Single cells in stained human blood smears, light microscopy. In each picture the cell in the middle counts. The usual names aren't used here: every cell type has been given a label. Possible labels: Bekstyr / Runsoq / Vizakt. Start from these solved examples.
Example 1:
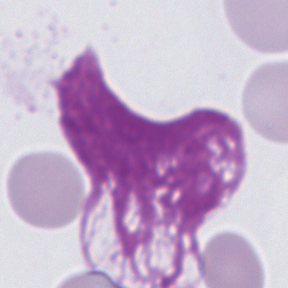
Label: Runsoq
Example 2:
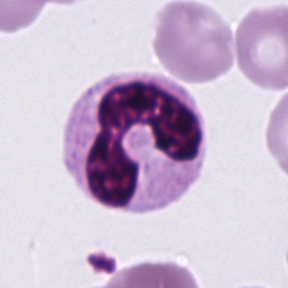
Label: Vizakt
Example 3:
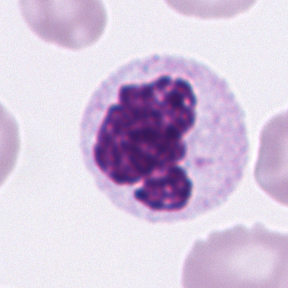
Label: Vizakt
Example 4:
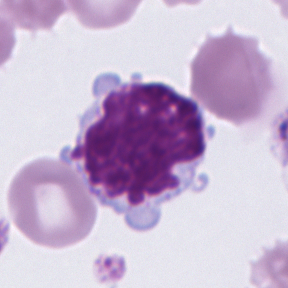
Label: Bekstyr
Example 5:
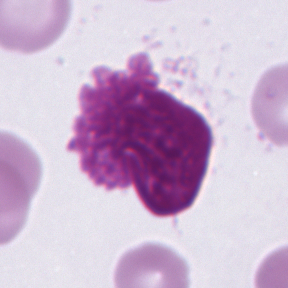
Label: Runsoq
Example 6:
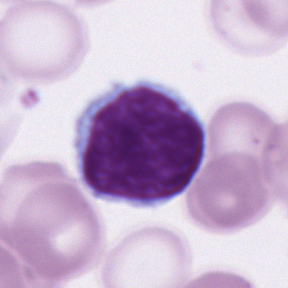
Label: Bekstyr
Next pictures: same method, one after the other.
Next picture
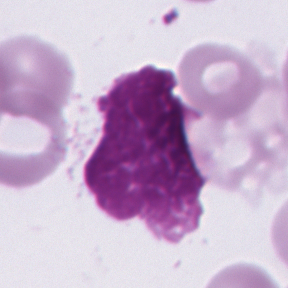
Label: Runsoq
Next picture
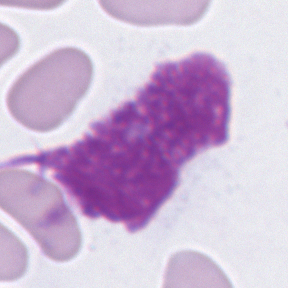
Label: Runsoq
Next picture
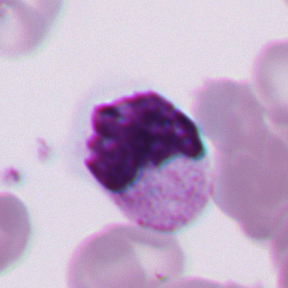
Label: Vizakt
